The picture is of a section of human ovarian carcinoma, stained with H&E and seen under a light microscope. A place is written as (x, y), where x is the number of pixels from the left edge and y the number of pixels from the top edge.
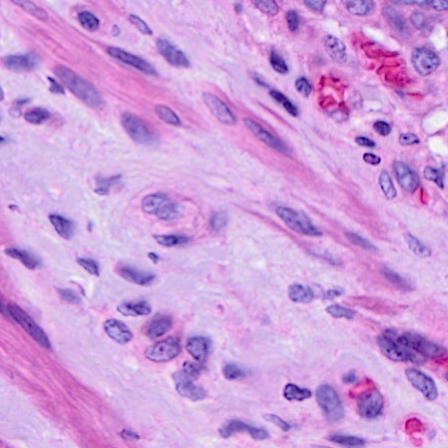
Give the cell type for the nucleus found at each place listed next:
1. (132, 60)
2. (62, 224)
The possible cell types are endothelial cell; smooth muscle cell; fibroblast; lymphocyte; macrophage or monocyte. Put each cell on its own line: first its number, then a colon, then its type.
1: smooth muscle cell
2: fibroblast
